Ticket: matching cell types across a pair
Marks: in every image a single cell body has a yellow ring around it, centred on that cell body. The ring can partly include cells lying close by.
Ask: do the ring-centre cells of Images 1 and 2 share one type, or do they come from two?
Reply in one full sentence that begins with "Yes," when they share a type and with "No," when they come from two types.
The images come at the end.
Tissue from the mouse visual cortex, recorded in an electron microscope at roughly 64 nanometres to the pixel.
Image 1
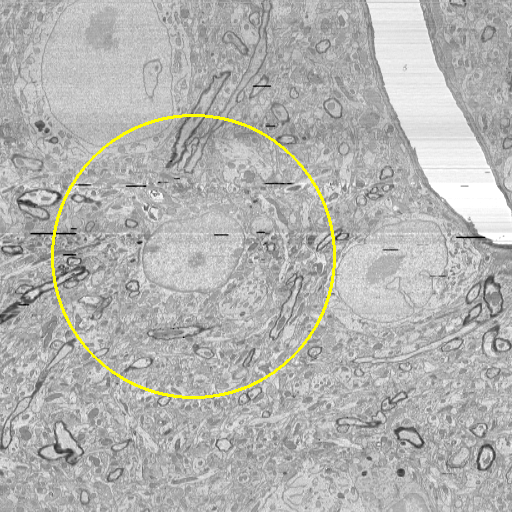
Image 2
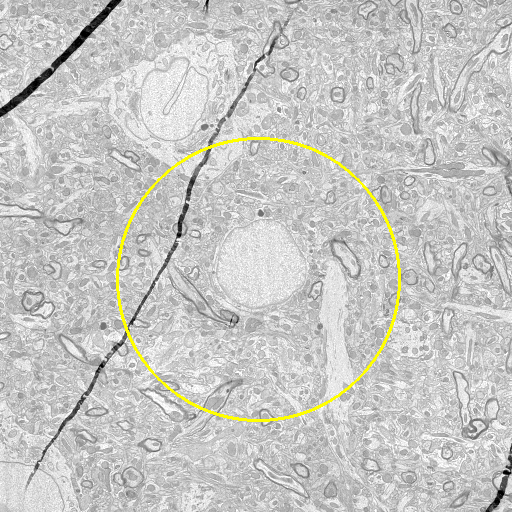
Yes, the cells in the centres of the rings in Image 1 and Image 2 share one type.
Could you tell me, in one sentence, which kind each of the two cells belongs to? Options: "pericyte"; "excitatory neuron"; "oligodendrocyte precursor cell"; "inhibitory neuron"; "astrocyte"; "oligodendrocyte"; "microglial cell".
Both cells are the same kind, each one being an astrocyte.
